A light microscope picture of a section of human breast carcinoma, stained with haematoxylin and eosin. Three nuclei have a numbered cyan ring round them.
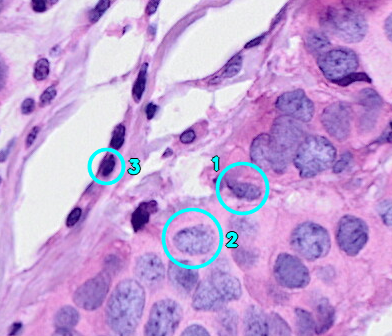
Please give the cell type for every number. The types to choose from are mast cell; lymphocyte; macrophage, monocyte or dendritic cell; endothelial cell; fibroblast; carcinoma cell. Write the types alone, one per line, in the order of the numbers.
carcinoma cell
carcinoma cell
lymphocyte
